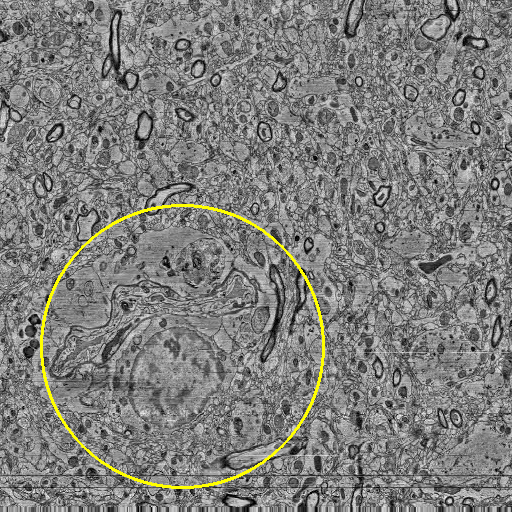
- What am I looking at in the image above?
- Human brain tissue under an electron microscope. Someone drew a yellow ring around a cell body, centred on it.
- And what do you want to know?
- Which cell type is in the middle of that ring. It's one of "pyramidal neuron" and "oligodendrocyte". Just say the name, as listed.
oligodendrocyte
